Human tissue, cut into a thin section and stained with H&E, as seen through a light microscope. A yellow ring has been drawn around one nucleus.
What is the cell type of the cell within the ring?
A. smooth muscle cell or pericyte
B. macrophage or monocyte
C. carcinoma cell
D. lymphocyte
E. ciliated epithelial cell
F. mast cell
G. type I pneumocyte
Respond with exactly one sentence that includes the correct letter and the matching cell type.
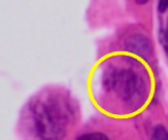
In short, option C: the cell within the ring is a carcinoma cell.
